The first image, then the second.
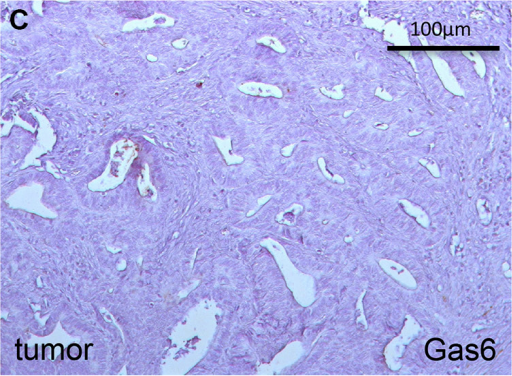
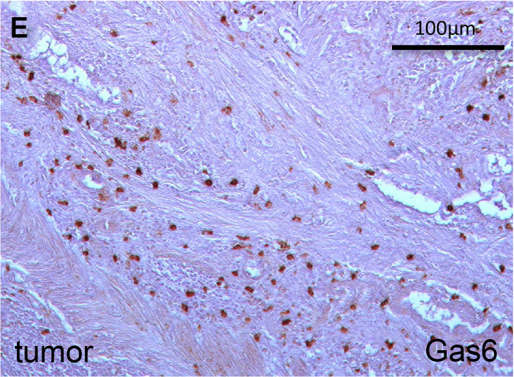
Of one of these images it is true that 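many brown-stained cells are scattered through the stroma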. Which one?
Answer: The second image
